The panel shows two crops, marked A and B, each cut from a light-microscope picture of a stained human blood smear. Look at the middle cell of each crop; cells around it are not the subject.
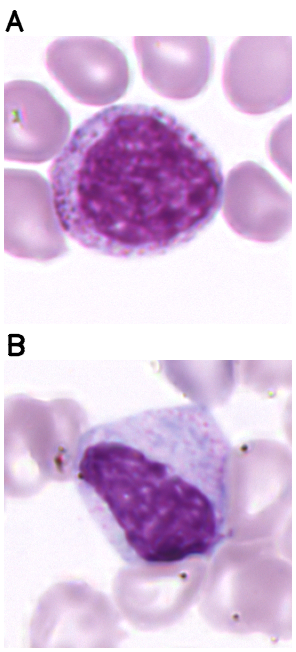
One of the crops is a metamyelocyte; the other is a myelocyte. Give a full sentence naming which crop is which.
Crop A is a myelocyte; crop B, on the other hand, is a metamyelocyte.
